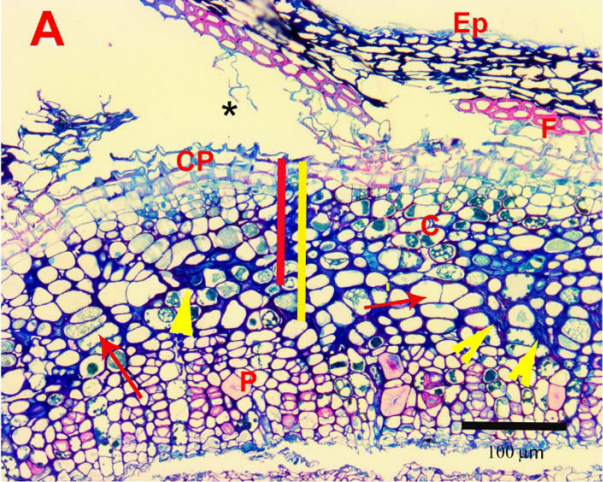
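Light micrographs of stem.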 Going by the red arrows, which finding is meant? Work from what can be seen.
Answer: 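The small cells have thin new walls. That points to this answer: hyperplasia.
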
